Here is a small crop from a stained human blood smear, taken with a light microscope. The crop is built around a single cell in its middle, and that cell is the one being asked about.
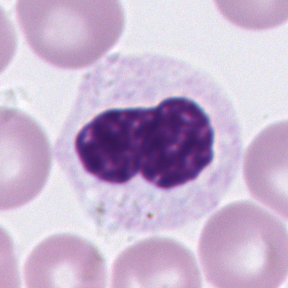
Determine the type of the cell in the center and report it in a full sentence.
The cell around which this crop is centred is a segmented neutrophil.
